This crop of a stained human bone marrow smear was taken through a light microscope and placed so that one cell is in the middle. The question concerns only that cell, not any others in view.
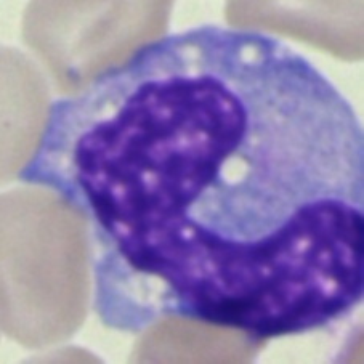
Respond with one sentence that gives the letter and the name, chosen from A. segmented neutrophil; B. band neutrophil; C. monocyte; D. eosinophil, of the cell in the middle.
The cell positioned centrally is a monocyte, as given in option C, which is correct.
